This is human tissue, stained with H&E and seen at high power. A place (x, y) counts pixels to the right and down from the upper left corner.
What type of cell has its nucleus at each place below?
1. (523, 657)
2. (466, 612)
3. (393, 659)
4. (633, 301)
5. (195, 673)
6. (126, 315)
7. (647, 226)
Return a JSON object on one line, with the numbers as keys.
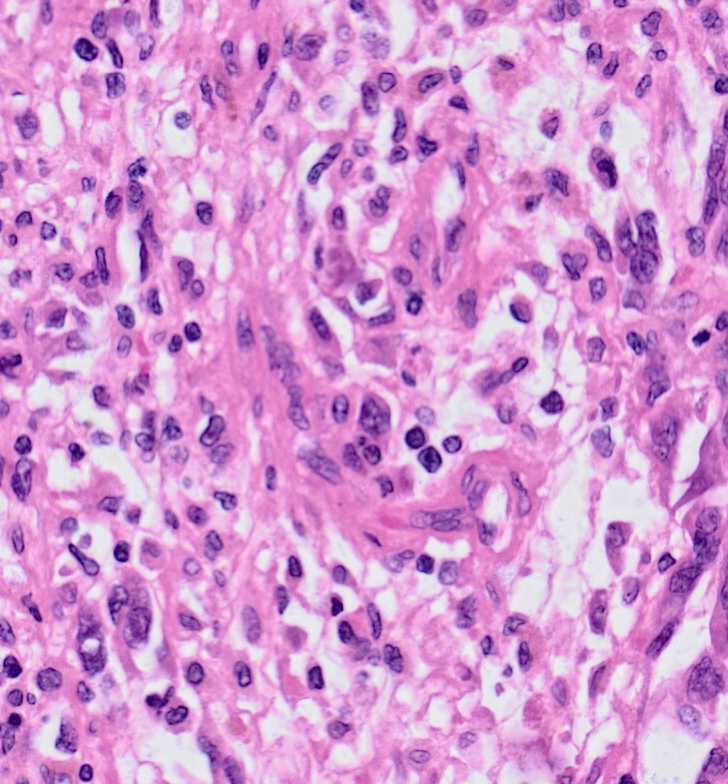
{"1": "macrophage or monocyte", "2": "melanoma cell", "3": "macrophage or monocyte", "4": "melanoma cell", "5": "macrophage or monocyte", "6": "lymphocyte", "7": "melanoma cell"}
